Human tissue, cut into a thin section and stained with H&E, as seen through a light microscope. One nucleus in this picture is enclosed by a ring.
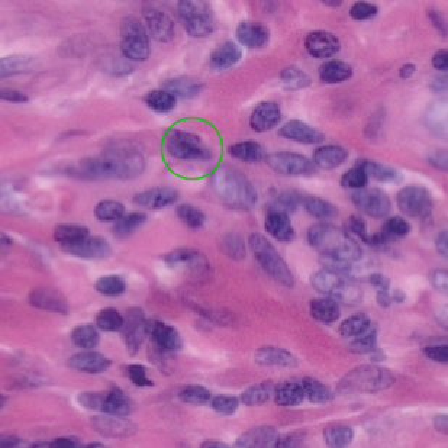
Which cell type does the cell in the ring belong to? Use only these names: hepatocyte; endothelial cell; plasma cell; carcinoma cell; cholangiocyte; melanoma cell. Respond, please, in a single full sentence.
So far as cell type goes, the cell in the ring is an endothelial cell.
